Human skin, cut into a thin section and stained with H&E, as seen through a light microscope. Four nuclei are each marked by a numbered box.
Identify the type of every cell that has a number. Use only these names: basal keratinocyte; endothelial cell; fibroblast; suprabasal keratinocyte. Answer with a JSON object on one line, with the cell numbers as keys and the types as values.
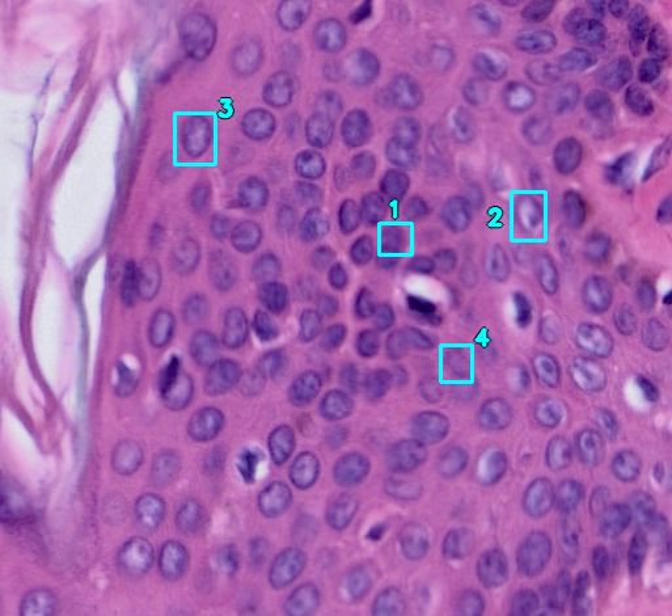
{"1": "basal keratinocyte", "2": "suprabasal keratinocyte", "3": "suprabasal keratinocyte", "4": "suprabasal keratinocyte"}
